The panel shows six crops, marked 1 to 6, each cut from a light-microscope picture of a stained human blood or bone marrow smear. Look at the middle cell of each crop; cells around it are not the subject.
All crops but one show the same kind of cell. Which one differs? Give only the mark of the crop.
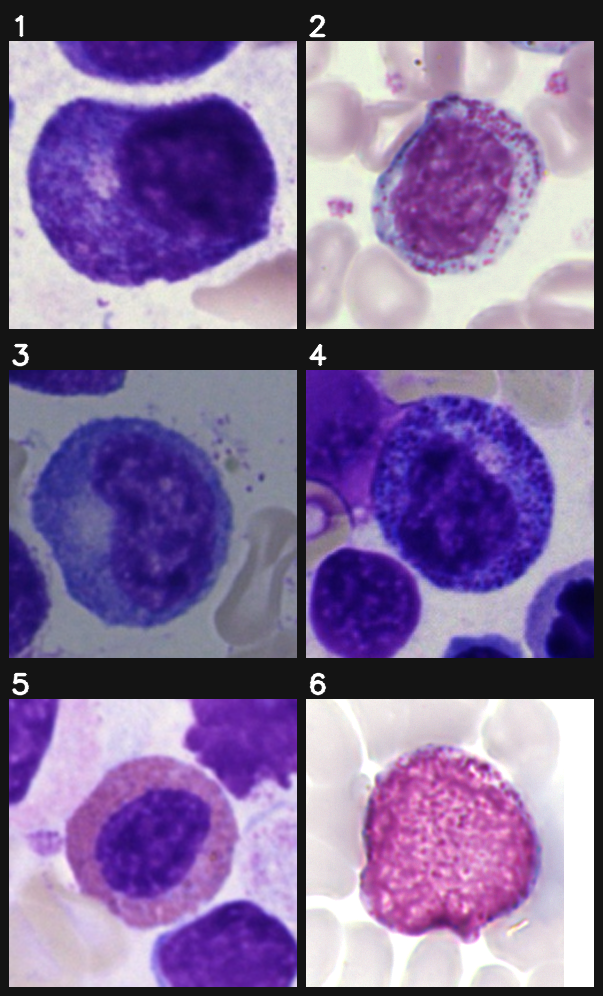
5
